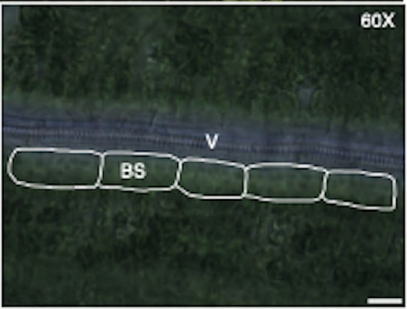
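The vein runs horizontally as a bluish-grey band with fine longitudinal striations. Directly below it lies a single row of elongated, rectangular cells, outlined in white, joined end to end along the vein. These cells are greenish and lack sharply visible internal detail. The tissue around them is dark green and less clearly resolved into individual cells.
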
